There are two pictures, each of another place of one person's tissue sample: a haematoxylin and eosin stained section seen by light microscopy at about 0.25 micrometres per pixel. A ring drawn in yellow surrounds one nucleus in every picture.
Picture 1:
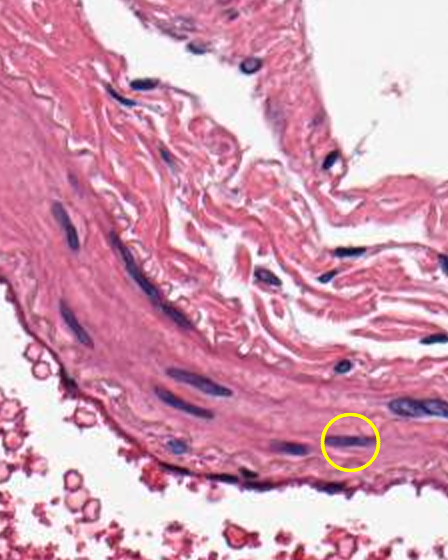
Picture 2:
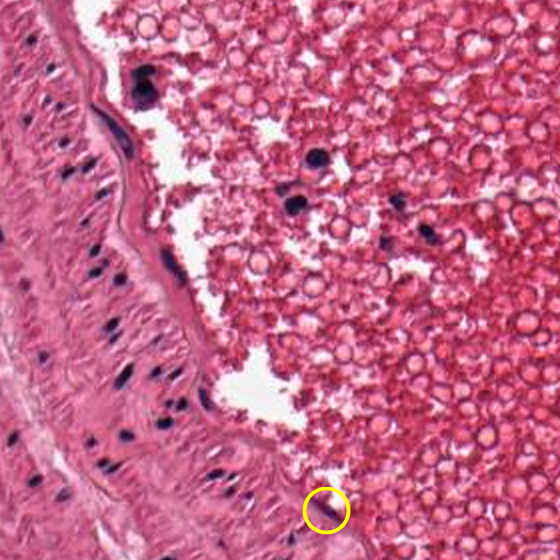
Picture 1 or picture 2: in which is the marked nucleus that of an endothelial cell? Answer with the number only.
2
